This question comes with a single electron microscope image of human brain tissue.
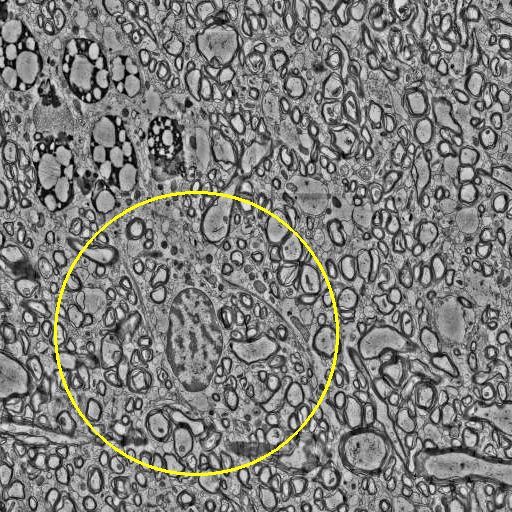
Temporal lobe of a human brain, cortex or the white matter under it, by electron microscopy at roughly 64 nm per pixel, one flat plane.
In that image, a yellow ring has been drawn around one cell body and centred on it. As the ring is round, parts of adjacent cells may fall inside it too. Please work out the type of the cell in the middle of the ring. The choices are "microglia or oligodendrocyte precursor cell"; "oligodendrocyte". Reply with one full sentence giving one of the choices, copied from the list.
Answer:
Of the choices, a microglial cell or oligodendrocyte precursor cell is the cell sitting in the middle of the ring.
